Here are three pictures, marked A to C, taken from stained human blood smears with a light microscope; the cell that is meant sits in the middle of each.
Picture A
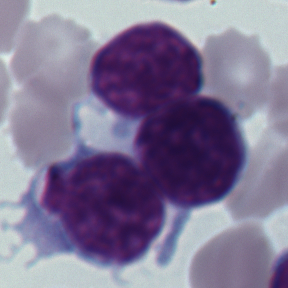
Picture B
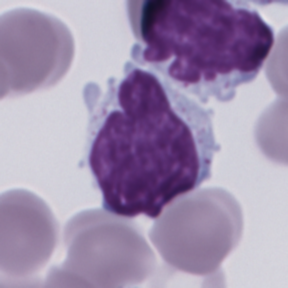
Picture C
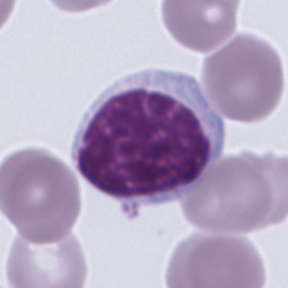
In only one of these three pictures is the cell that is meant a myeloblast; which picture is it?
A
